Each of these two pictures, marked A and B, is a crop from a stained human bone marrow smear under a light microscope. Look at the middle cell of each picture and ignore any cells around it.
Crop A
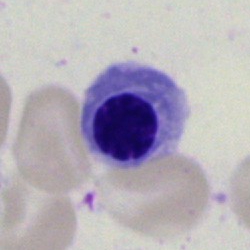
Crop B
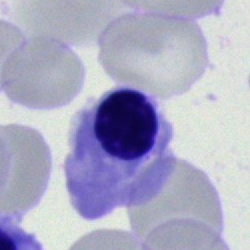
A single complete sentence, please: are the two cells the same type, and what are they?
Yes, both crops do show erythroblasts in the middle.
